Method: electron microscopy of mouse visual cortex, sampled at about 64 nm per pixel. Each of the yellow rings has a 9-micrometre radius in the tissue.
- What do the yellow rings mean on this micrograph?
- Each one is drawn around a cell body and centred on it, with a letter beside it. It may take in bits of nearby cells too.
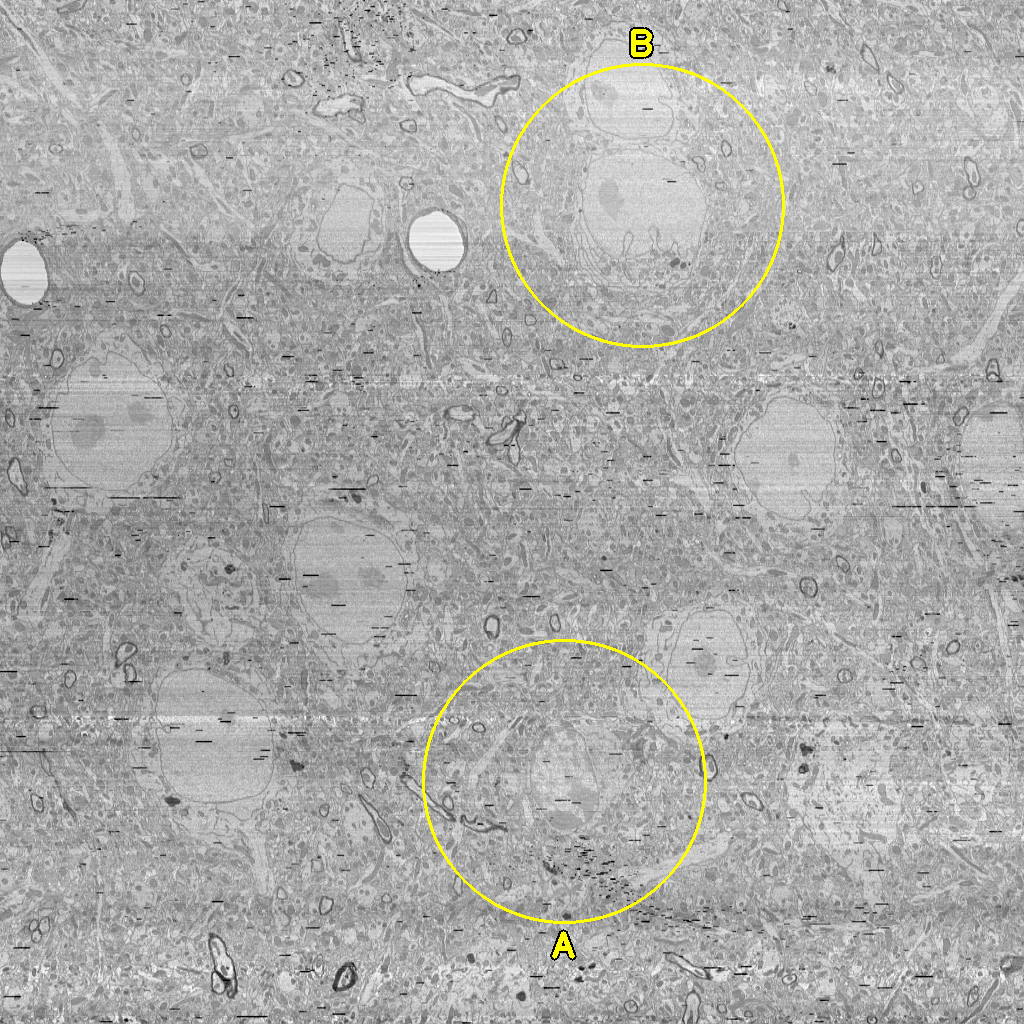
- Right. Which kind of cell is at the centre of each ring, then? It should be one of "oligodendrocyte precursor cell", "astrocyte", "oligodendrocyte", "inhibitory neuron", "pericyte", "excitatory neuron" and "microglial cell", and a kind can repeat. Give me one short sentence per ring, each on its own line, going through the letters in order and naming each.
Ring A circles the cell body of an oligodendrocyte.
Ring B circles the cell body of an inhibitory neuron.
